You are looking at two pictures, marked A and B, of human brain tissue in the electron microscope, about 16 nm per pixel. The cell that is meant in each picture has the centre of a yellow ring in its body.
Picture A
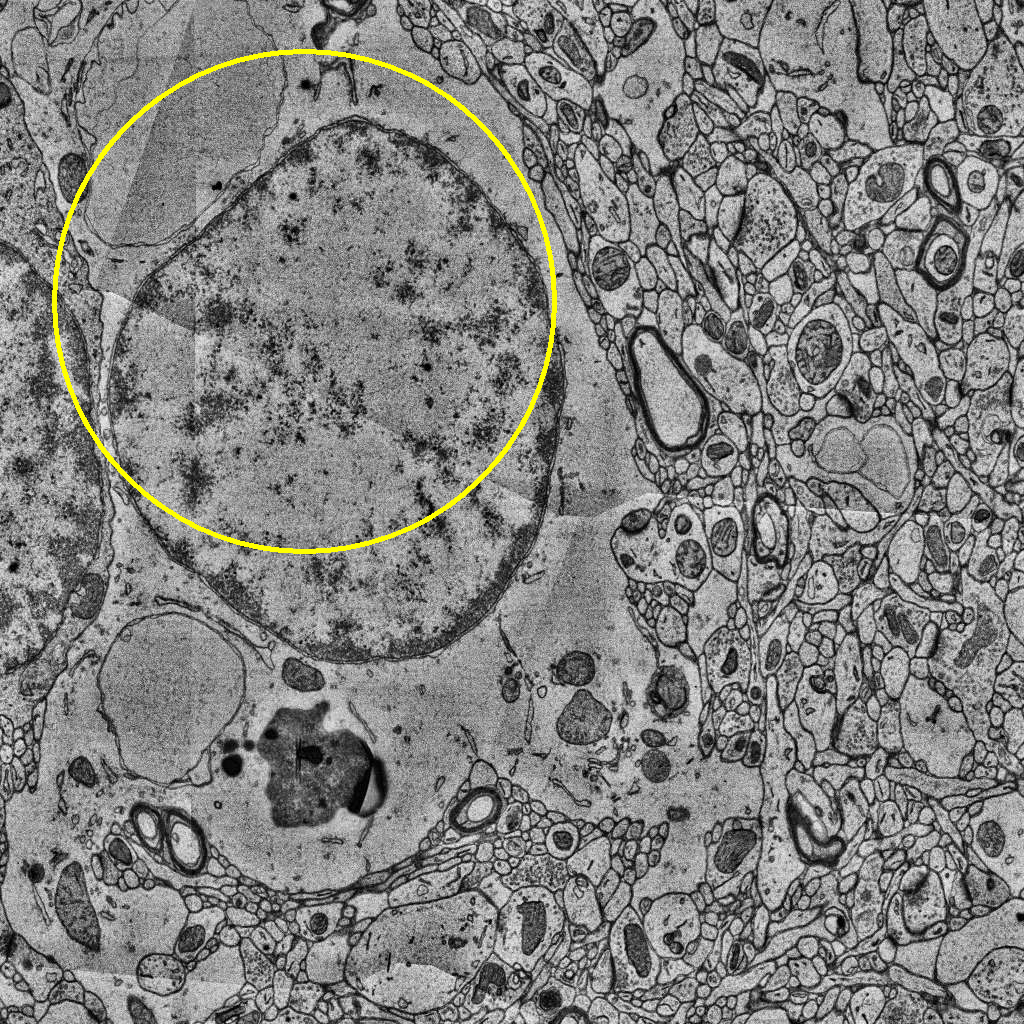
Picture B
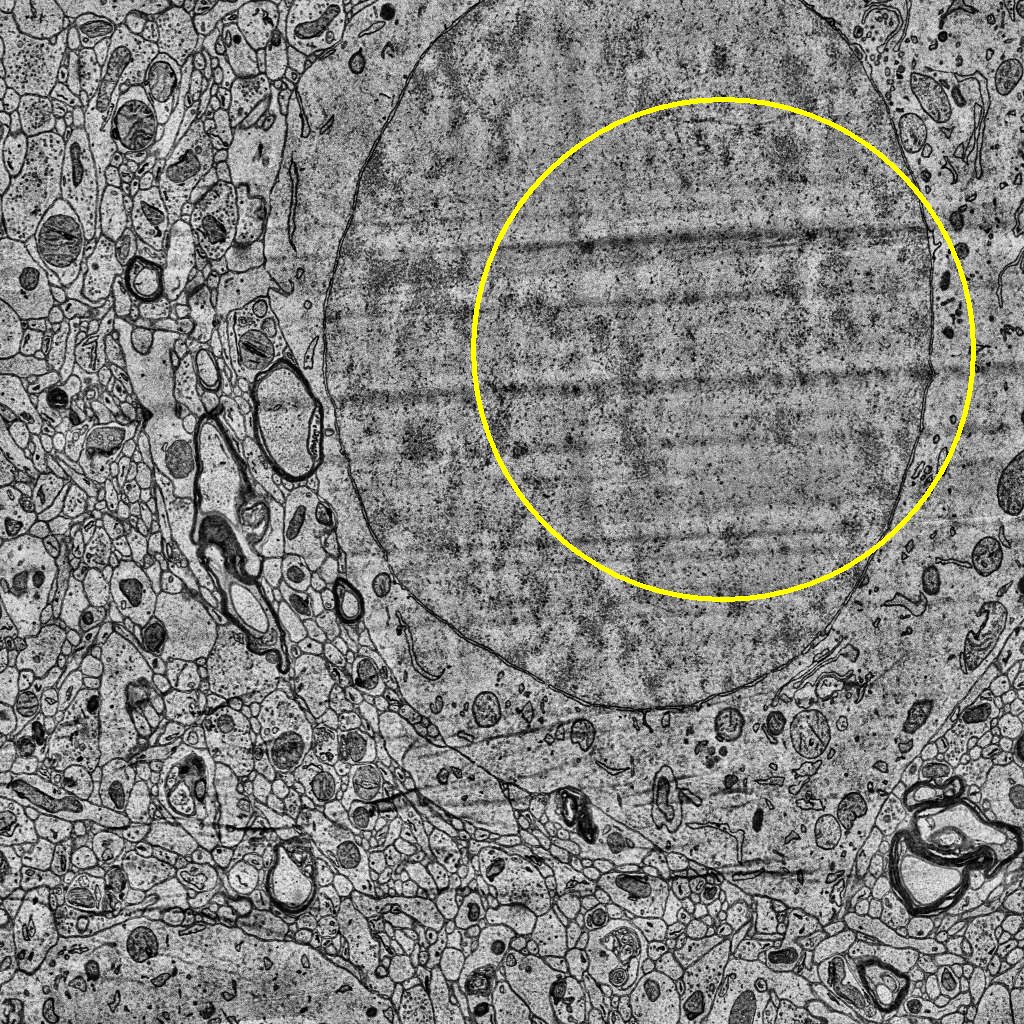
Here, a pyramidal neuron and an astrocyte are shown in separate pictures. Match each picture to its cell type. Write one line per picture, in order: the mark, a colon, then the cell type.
A: astrocyte
B: pyramidal neuron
